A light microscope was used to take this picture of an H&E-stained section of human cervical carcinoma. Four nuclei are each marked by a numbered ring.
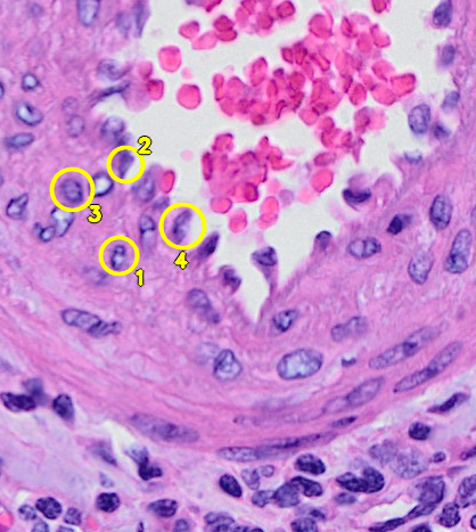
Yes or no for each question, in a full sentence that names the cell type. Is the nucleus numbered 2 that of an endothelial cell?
Yes, looking at number 2, that cell is an endothelial cell.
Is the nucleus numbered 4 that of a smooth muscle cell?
No, number 4 does not mark a smooth muscle cell; it marks an endothelial cell.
